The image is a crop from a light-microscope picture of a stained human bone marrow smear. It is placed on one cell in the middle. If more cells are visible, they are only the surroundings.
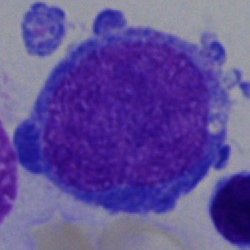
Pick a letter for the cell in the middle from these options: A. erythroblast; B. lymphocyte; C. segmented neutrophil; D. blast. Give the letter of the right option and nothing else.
D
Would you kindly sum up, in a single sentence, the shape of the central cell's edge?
Its outline is ragged or drawn out into projections, not smooth.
